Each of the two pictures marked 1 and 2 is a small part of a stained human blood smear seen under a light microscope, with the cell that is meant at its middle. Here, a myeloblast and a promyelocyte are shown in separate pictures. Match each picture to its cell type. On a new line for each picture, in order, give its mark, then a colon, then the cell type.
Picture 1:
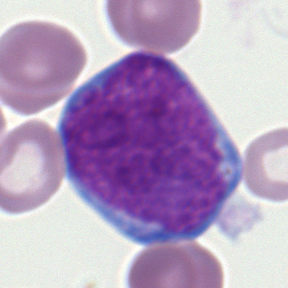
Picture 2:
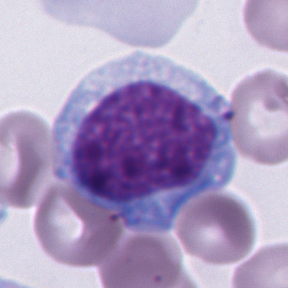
1: myeloblast
2: promyelocyte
